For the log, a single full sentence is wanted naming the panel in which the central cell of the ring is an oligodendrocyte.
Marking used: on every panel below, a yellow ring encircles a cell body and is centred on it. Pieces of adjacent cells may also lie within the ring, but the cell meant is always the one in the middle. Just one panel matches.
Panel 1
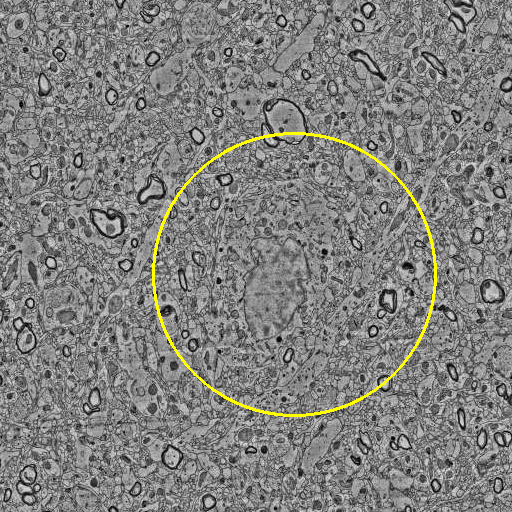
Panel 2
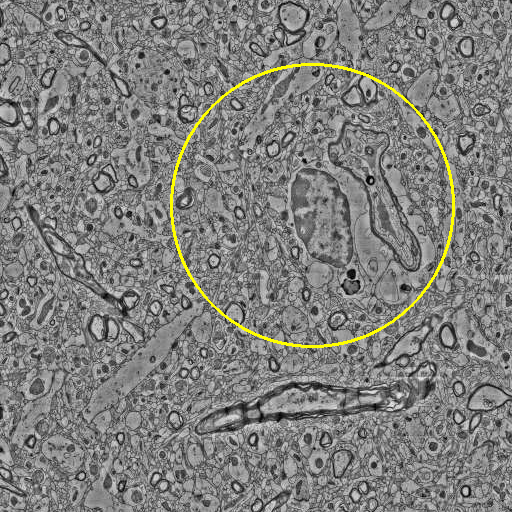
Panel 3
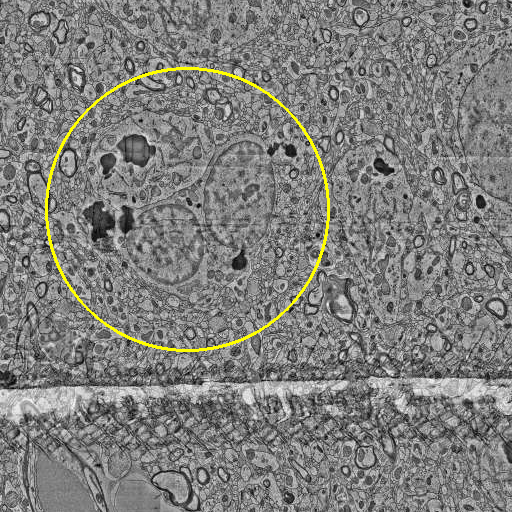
The cell in the middle of the ring in panel 3 is the one asked for.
